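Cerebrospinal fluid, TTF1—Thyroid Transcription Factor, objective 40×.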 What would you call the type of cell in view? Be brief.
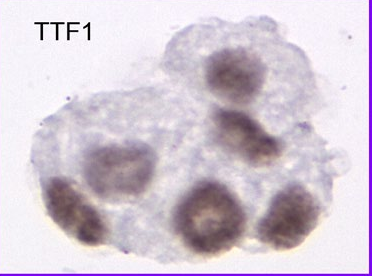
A: carcinoma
